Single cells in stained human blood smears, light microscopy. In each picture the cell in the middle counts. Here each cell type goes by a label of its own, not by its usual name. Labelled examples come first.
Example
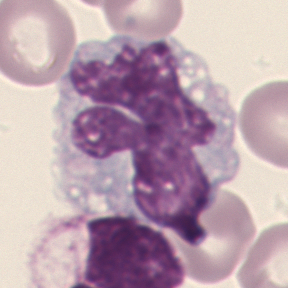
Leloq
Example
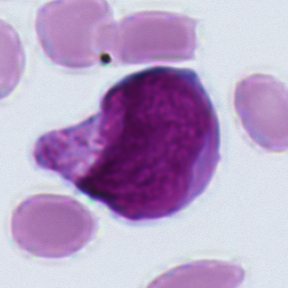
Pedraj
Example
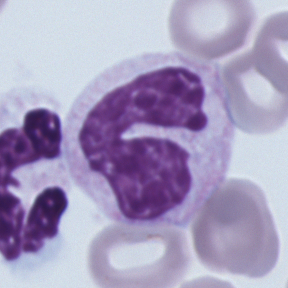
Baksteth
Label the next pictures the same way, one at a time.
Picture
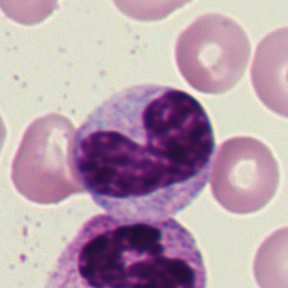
Baksteth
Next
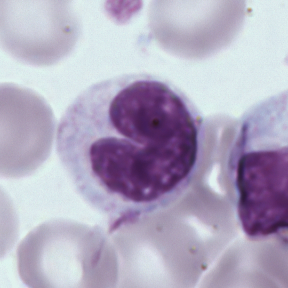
Baksteth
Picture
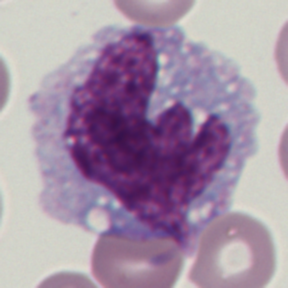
Leloq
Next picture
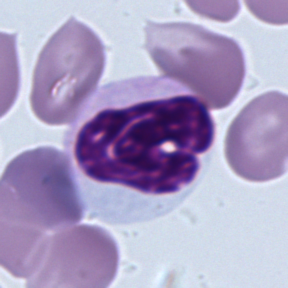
Baksteth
